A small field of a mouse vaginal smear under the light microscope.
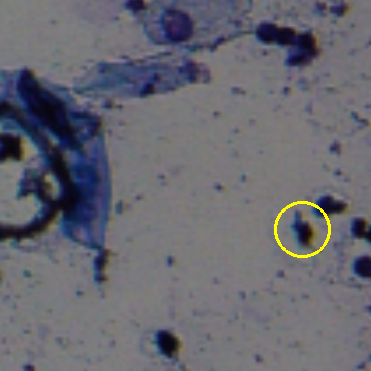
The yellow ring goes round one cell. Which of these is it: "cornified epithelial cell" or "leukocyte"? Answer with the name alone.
leukocyte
